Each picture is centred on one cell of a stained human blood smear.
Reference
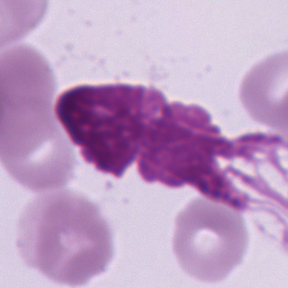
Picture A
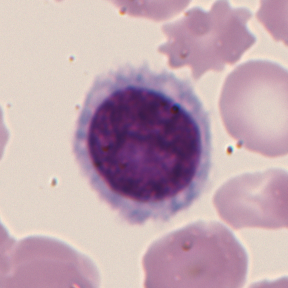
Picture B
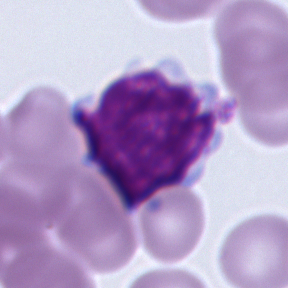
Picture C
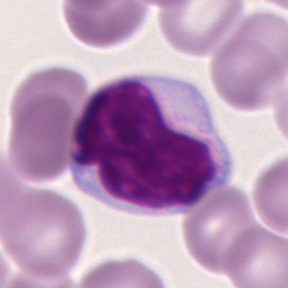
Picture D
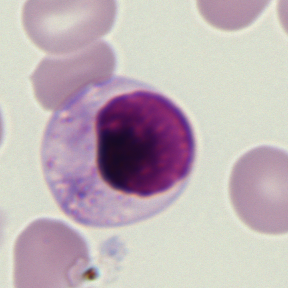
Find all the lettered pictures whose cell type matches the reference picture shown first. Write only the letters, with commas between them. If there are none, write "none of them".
none of them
